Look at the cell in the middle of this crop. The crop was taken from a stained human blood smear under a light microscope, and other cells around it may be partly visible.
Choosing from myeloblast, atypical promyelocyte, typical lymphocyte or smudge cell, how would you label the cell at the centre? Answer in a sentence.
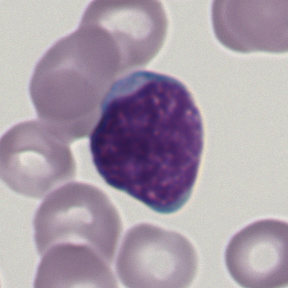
The cell in the exact centre of the crop is a myeloblast.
